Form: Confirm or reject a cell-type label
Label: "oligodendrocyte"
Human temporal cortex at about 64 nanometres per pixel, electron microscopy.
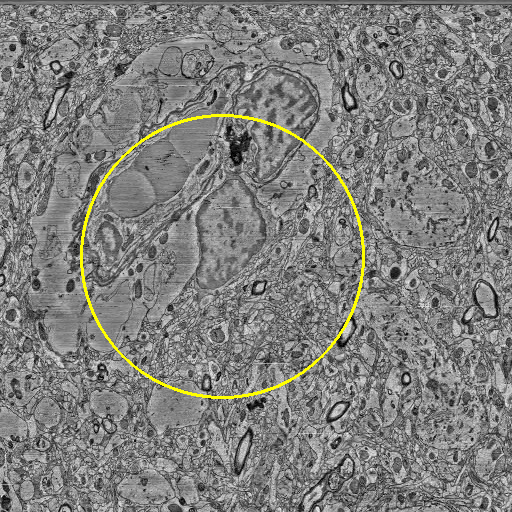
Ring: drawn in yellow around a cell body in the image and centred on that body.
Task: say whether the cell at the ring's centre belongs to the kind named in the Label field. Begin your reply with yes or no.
Yes, it belongs to that kind.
